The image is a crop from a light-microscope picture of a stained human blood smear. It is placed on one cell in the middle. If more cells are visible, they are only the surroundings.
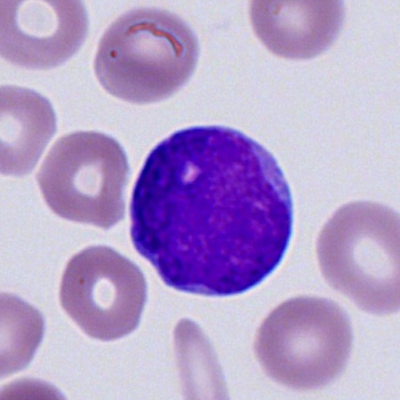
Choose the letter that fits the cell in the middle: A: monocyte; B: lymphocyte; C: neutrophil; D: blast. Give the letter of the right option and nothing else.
D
